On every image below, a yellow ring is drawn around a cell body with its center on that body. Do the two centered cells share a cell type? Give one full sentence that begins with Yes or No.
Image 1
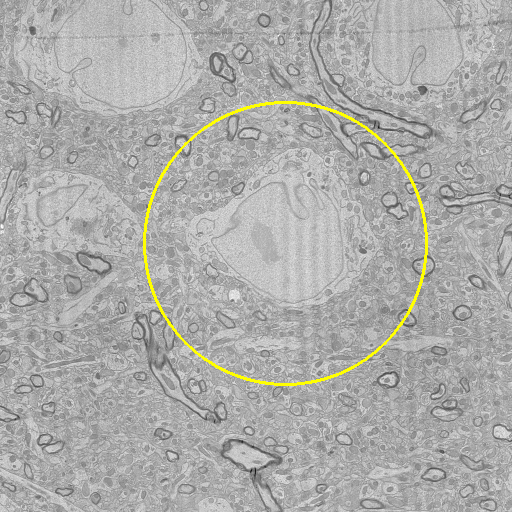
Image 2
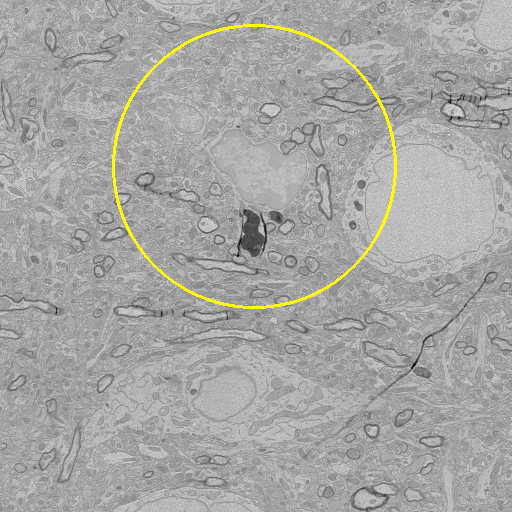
No, the centered cells in the two images are of two separate cell types.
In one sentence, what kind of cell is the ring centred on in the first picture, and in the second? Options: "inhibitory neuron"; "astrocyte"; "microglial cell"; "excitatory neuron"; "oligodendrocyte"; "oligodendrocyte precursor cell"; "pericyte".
The cell at the centre of the second ring is a microglial cell; the first ring's cell is an excitatory neuron.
